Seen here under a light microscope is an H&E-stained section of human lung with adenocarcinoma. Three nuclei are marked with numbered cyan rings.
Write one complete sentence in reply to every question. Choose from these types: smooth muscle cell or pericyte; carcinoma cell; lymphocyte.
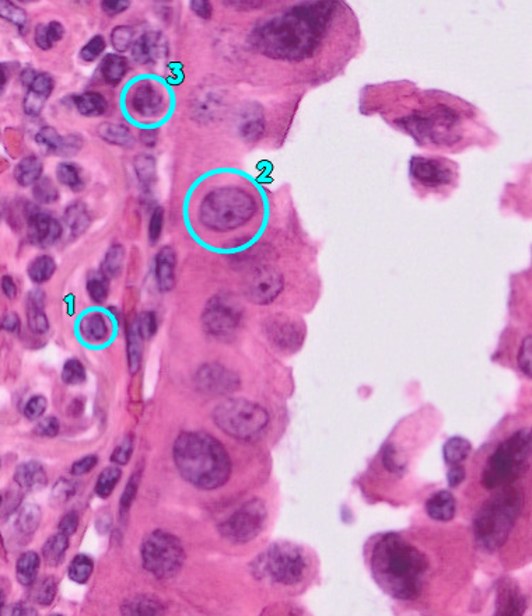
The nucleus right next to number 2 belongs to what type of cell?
The nucleus nearest to number 2 is that of a carcinoma cell.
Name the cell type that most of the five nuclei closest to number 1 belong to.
Lymphocytes account for more than half of the five nuclei nearest to number 1.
